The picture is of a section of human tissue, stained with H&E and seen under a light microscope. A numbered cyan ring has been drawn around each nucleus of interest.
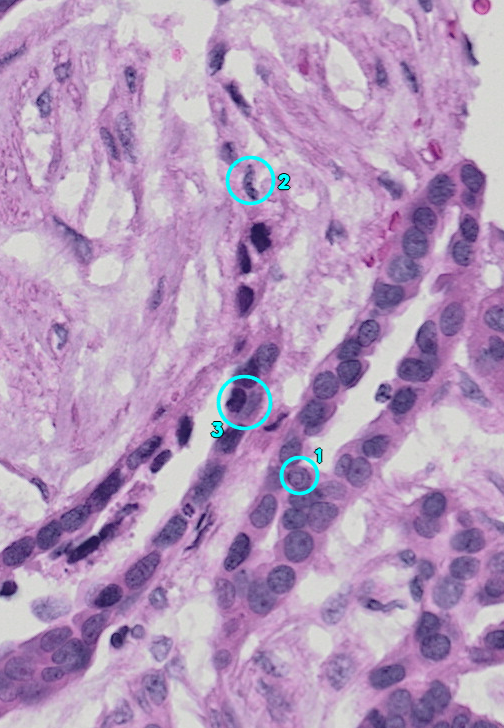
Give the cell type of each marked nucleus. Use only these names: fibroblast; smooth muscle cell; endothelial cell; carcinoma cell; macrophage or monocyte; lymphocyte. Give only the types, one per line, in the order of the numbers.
carcinoma cell
macrophage or monocyte
carcinoma cell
